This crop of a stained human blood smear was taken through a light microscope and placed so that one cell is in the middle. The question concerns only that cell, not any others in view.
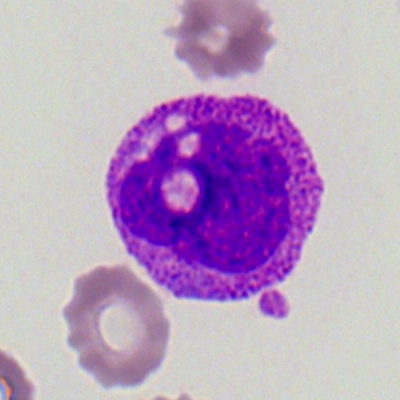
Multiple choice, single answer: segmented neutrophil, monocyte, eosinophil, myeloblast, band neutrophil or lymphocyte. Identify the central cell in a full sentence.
Present in the middle of the crop is a monocyte.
